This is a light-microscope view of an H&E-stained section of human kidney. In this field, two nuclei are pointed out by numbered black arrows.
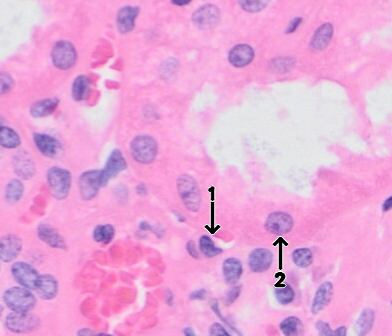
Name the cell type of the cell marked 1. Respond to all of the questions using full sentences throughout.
The one labeled 1 is an endothelial cell, to put it simply.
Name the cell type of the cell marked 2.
The cell whose nucleus carries the number 2 is a proximal tubule cell.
